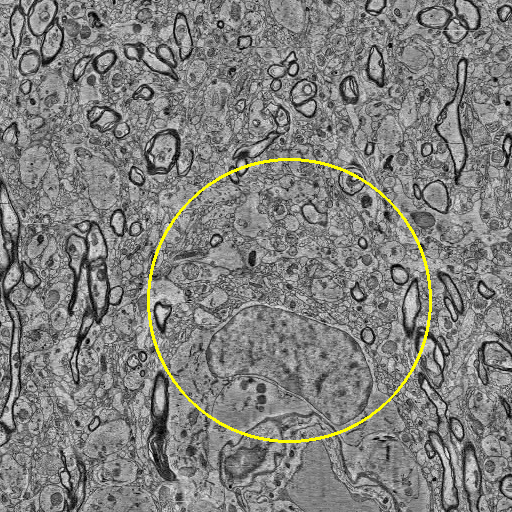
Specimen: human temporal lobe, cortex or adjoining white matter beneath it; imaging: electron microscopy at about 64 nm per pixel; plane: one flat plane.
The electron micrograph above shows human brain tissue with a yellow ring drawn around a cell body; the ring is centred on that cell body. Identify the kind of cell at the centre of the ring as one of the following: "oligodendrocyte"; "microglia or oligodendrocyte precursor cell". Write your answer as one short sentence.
The cell at the centre of the ring is a microglial cell or oligodendrocyte precursor cell.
